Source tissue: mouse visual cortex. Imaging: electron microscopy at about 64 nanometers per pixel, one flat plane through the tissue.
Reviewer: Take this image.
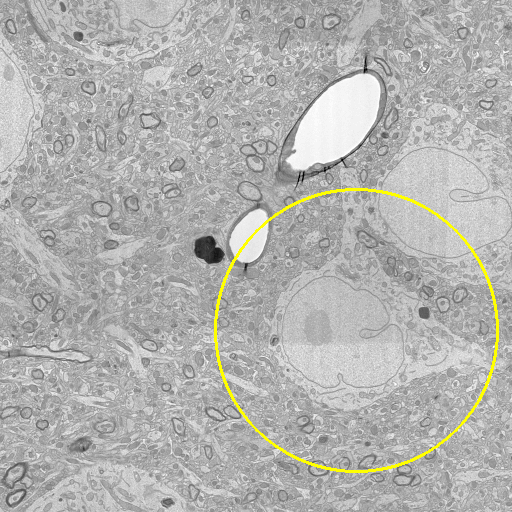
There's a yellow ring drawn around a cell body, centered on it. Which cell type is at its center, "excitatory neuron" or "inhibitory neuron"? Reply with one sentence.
At the center of the yellow ring is an excitatory neuron.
